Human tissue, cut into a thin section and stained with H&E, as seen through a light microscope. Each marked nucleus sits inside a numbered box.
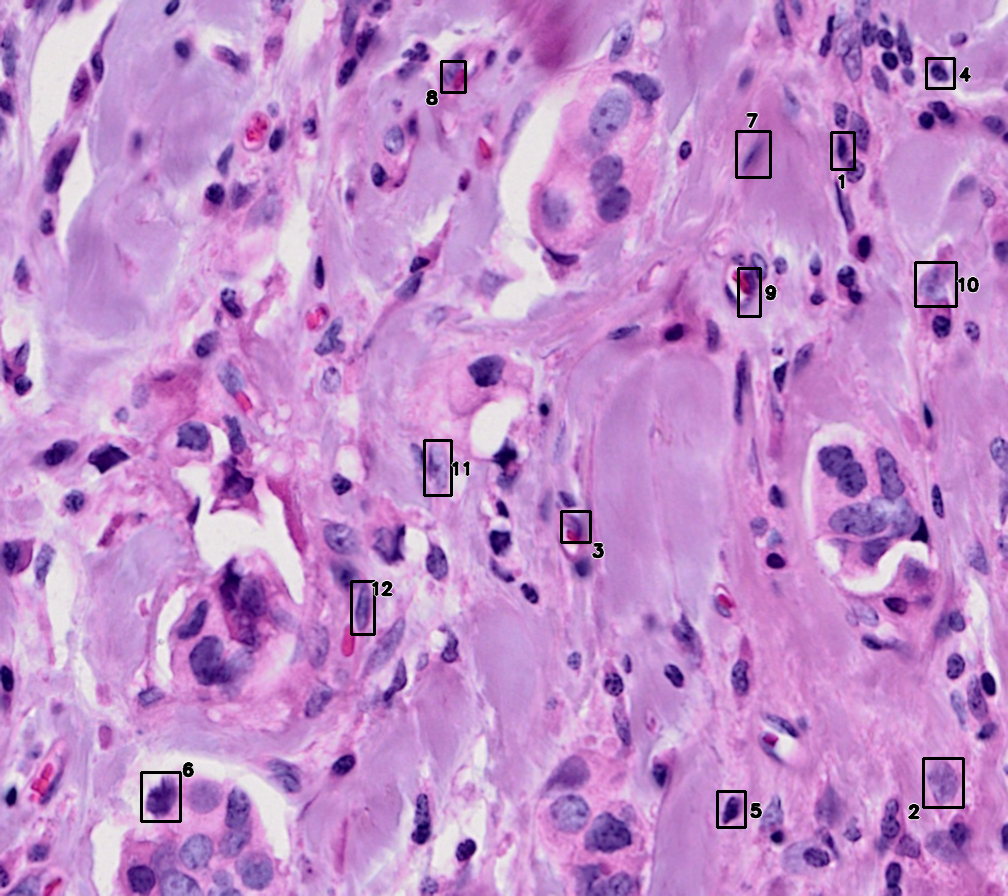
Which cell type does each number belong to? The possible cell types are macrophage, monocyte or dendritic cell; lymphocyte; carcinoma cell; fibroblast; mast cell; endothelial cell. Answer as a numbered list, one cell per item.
1. lymphocyte
2. fibroblast
3. endothelial cell
4. lymphocyte
5. lymphocyte
6. carcinoma cell
7. fibroblast
8. endothelial cell
9. endothelial cell
10. fibroblast
11. fibroblast
12. endothelial cell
